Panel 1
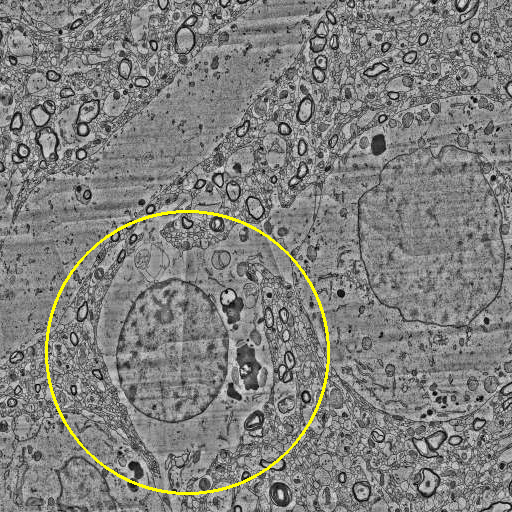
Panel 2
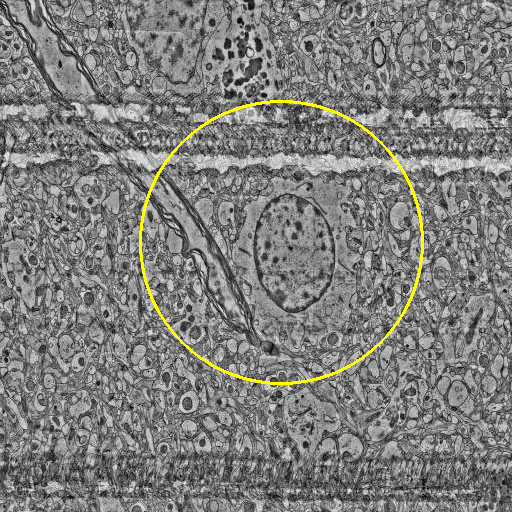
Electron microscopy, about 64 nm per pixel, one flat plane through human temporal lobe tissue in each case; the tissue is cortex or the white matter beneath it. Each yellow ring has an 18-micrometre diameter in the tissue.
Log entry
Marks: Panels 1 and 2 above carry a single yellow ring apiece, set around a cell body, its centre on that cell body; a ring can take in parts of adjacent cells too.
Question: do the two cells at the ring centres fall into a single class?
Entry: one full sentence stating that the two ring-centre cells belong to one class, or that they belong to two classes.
The two ring-centre cells in Panels 1 and 2 belong to one class.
